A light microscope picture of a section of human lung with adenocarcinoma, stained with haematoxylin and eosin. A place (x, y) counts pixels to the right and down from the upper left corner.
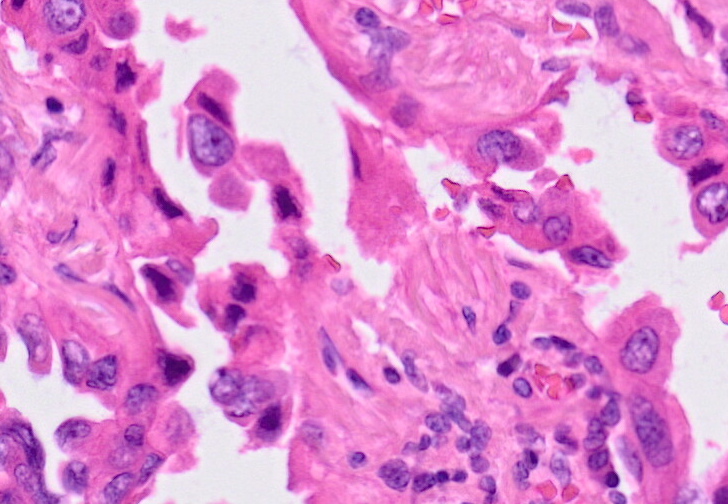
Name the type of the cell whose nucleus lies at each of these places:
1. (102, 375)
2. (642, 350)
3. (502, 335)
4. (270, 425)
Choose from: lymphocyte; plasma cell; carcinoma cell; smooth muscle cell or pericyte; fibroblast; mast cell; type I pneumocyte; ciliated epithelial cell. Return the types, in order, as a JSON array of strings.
["carcinoma cell", "carcinoma cell", "lymphocyte", "carcinoma cell"]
